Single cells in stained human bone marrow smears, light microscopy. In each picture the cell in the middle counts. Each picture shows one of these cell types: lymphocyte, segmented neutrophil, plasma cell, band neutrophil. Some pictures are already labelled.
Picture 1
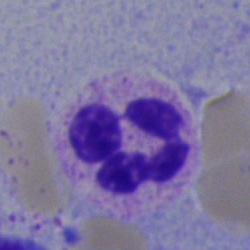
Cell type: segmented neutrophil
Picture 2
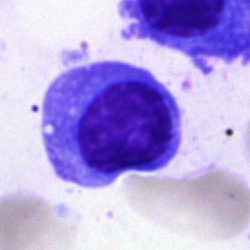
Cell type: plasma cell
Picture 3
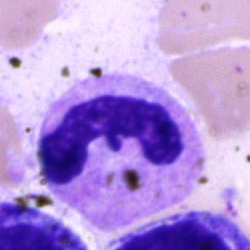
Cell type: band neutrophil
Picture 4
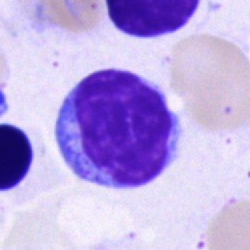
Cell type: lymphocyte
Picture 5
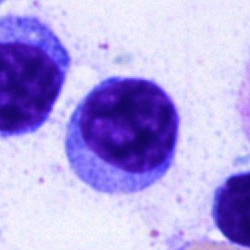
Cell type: lymphocyte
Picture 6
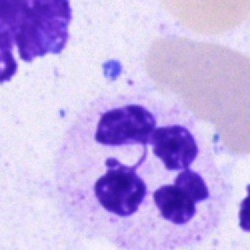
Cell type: segmented neutrophil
